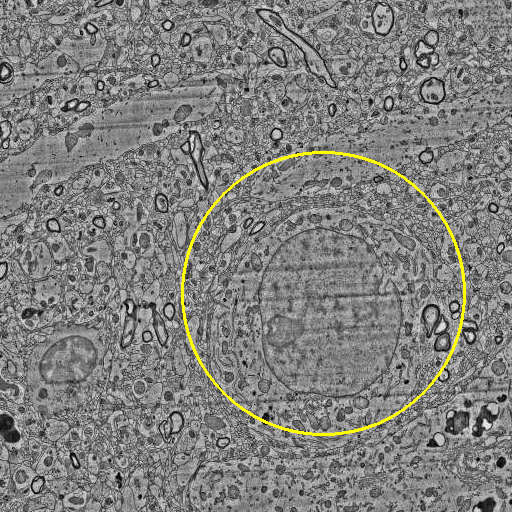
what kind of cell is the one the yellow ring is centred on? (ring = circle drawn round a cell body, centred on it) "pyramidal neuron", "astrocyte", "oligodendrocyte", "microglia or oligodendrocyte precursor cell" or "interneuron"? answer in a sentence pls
The ring is drawn around an interneuron.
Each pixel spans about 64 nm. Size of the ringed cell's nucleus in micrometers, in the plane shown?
Roughly 11 by 9 micrometres in this plane, for the nucleus of the ringed cell.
